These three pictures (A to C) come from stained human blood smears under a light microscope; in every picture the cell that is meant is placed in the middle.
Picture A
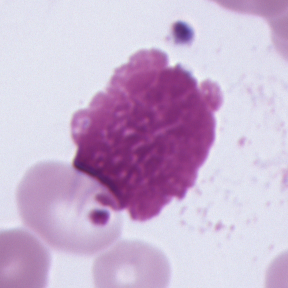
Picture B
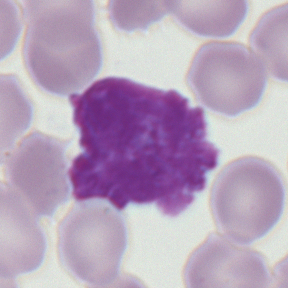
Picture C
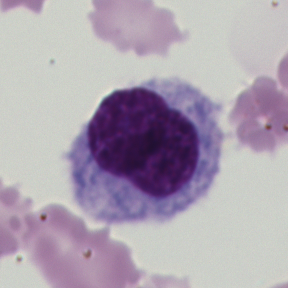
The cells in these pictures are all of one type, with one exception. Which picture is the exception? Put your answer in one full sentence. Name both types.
Unlike the rest, which show smudge cells, picture C shows a hairy cell.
